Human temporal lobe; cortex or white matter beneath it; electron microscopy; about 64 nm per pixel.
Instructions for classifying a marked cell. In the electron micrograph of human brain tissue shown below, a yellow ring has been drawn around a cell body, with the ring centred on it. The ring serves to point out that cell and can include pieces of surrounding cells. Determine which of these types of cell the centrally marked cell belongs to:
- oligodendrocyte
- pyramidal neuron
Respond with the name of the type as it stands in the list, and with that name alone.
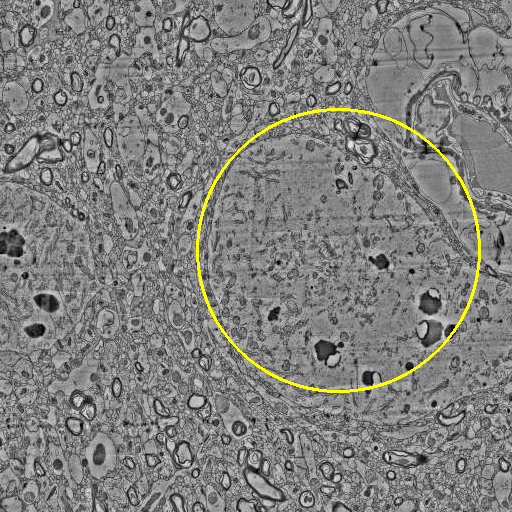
pyramidal neuron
